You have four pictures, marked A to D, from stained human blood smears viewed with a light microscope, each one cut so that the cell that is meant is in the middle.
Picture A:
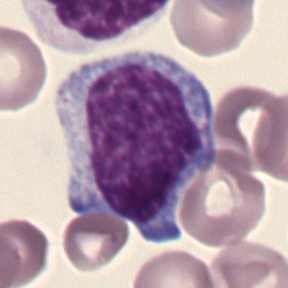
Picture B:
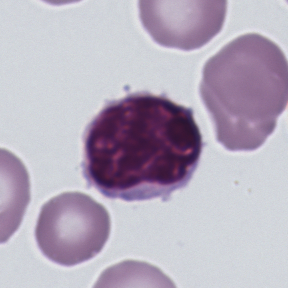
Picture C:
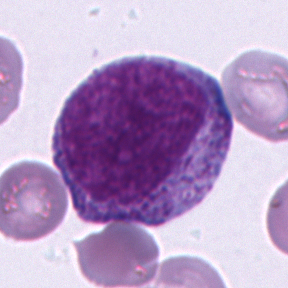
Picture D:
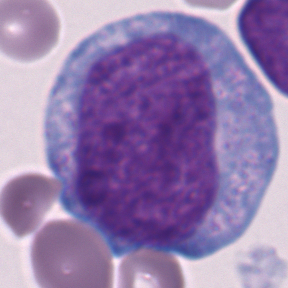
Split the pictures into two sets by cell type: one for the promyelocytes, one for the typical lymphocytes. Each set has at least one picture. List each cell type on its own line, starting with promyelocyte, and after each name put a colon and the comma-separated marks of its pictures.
promyelocyte: A, C, D
typical lymphocyte: B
